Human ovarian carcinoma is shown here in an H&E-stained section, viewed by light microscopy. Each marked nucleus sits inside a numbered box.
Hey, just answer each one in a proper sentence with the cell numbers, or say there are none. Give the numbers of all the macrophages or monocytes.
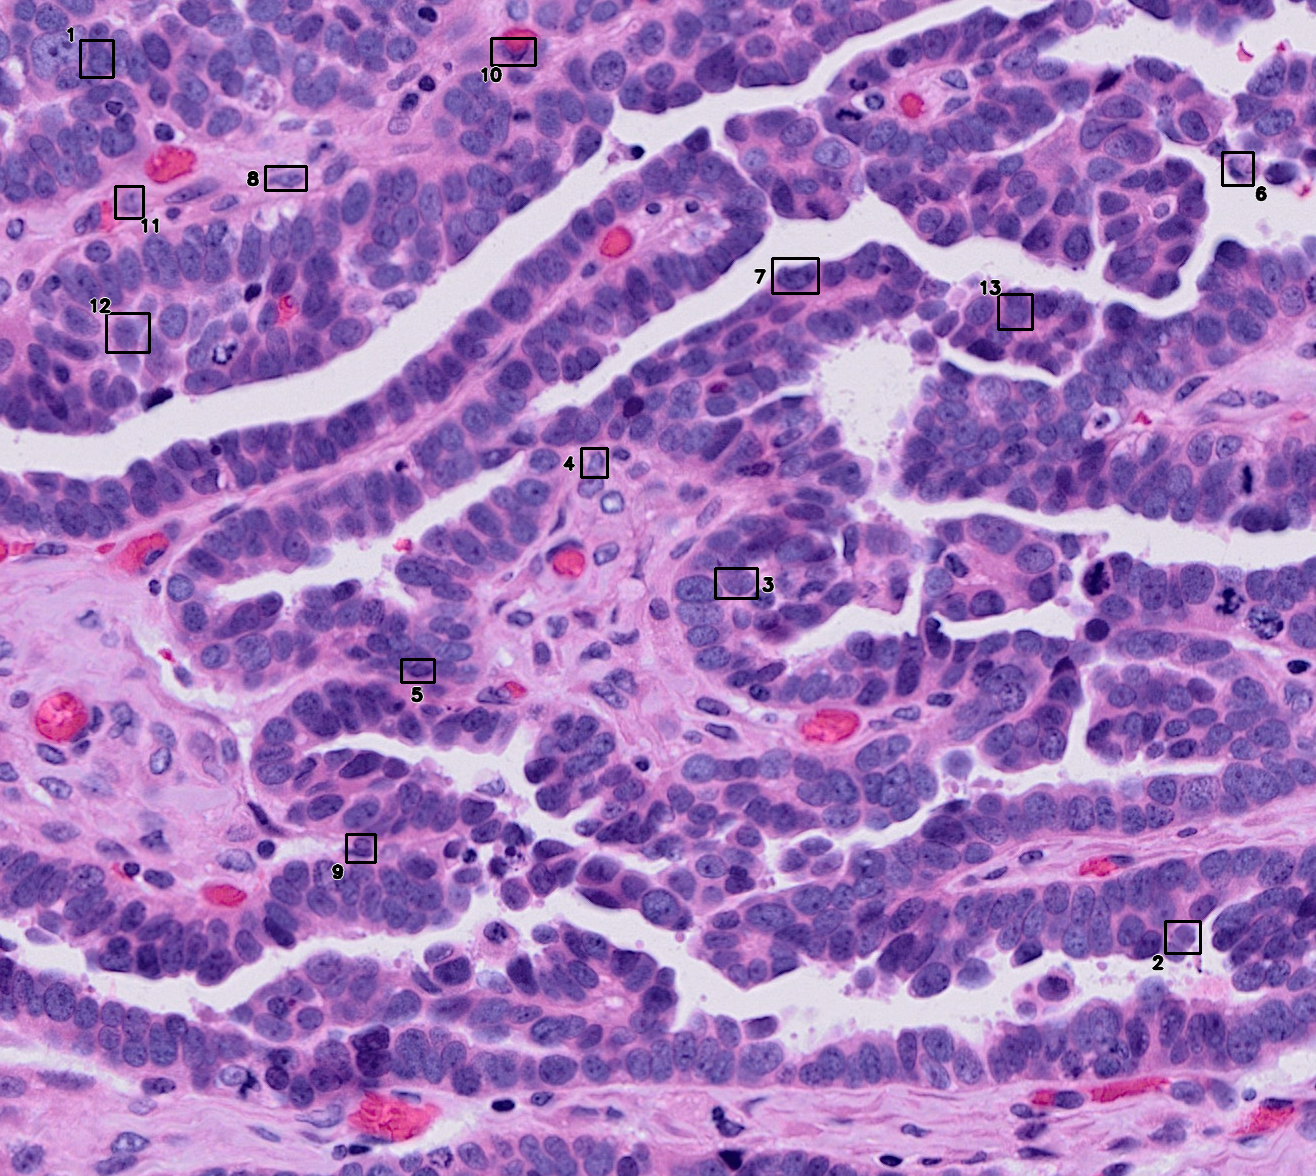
Cells 6 and 9 are of one type, namely macrophages or monocytes.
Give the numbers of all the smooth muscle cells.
The numbered set holds no smooth muscle cells whatsoever.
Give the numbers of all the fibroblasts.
The cells that have numbers 4, 8 and 11 are fibroblasts.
